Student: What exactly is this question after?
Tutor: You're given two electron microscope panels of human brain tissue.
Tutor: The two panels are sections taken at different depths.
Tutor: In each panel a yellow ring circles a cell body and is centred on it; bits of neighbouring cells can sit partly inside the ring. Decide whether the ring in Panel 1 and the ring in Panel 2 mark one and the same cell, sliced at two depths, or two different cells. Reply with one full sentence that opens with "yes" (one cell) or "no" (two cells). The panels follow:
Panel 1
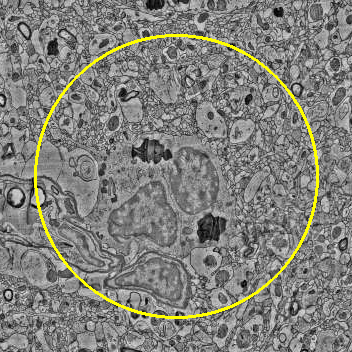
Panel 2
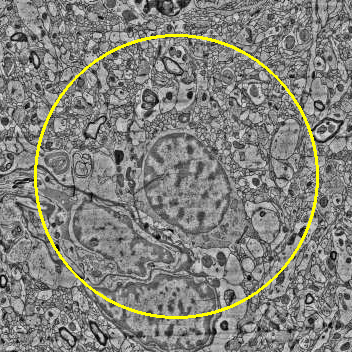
Yes, a single cell is the subject of both yellow rings.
